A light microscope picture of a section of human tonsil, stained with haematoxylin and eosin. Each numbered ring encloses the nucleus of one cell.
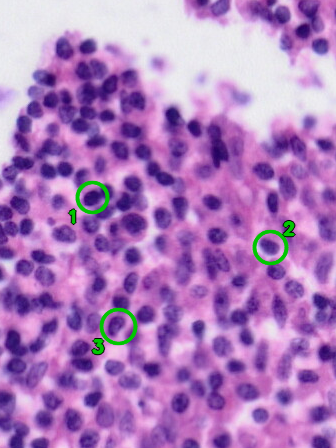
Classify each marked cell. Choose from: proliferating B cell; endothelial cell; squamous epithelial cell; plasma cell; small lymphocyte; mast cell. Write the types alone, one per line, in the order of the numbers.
small lymphocyte
plasma cell
plasma cell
